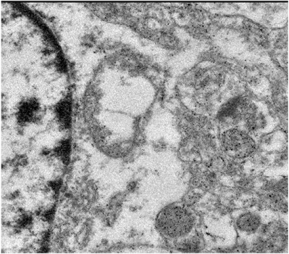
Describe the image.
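At the left edge lies part of a nucleus, bounded by its envelope, with dark clumps of chromatin inside. Beside it the cytoplasm contains large pale, nearly empty spaces, giving the tissue a vacuolated look.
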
